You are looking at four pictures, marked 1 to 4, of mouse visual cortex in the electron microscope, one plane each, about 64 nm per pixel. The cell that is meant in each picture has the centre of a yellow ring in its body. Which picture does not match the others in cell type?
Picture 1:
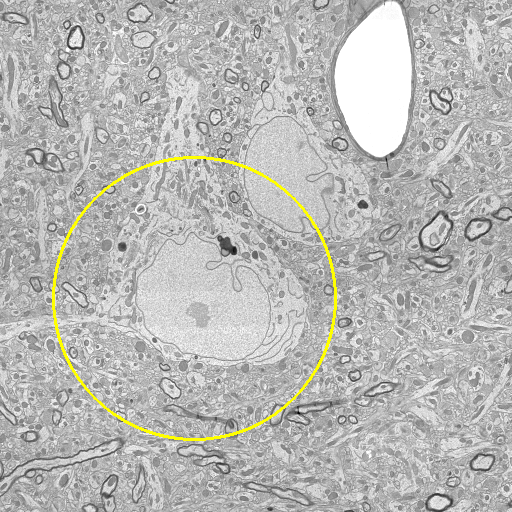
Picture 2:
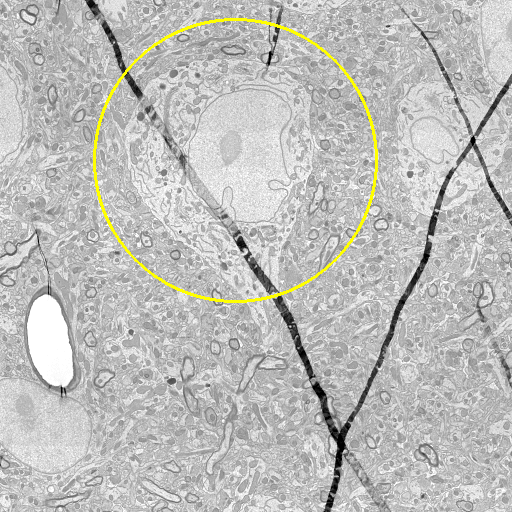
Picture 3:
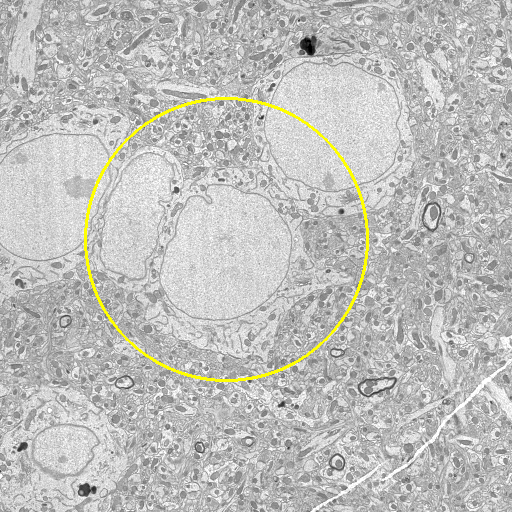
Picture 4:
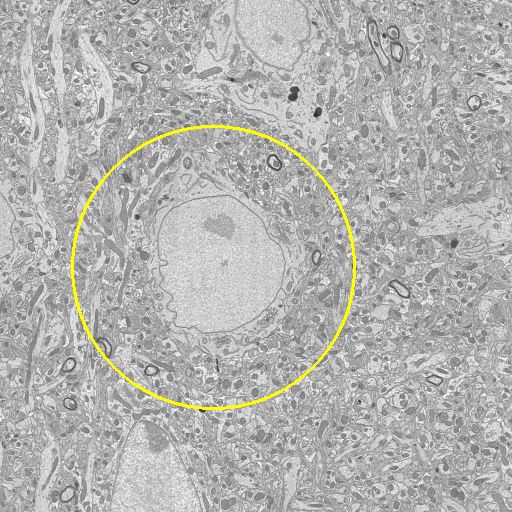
Unlike the rest, which show excitatory neurons, picture 2 shows an inhibitory neuron.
